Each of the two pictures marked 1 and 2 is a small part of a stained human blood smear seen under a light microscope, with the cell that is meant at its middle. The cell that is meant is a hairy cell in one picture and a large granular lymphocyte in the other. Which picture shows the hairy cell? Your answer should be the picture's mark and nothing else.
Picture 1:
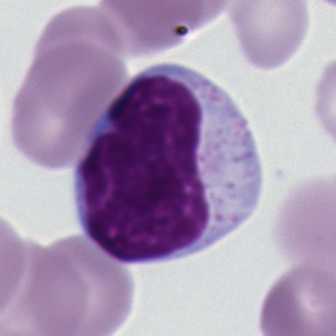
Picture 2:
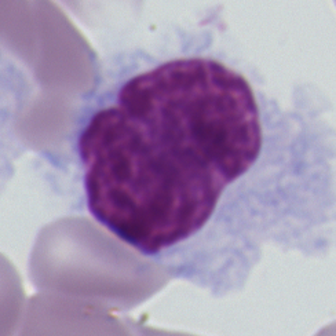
2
